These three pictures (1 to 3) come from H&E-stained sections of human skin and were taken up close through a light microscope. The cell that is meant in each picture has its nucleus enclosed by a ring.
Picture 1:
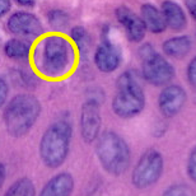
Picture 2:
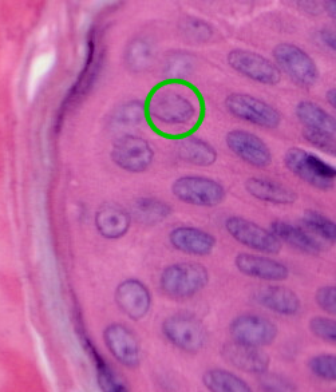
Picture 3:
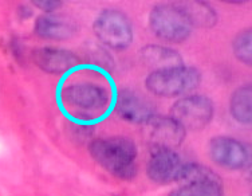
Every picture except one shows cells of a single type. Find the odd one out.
2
